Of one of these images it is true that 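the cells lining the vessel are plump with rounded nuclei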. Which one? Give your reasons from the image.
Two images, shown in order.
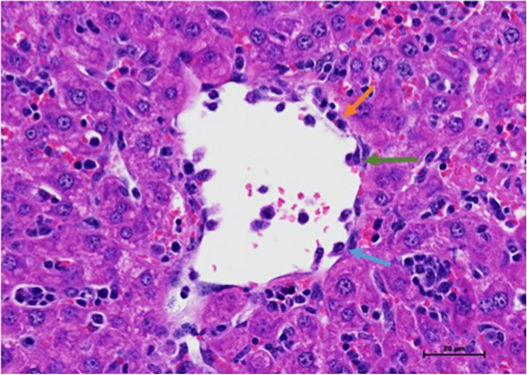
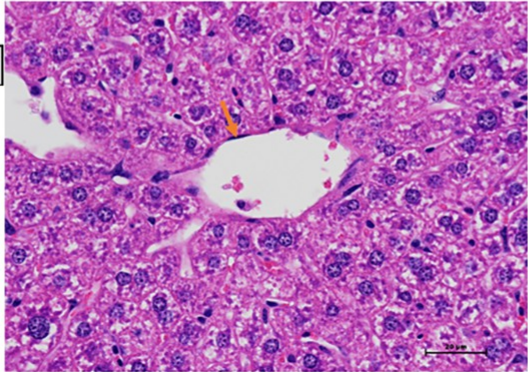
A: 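The first image. First image: lining cells have rounded dark nuclei and project into the lumen. Second image: the lining cell is a thin flat sliver with an elongated nucleus along the wall.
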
